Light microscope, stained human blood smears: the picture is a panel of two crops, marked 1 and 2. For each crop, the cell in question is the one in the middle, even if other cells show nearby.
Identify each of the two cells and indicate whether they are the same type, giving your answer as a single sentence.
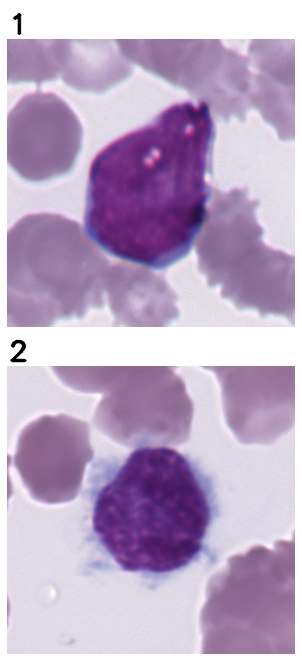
No, the middle of crop 1 holds a myeloblast, and the middle of crop 2 holds a hairy cell.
